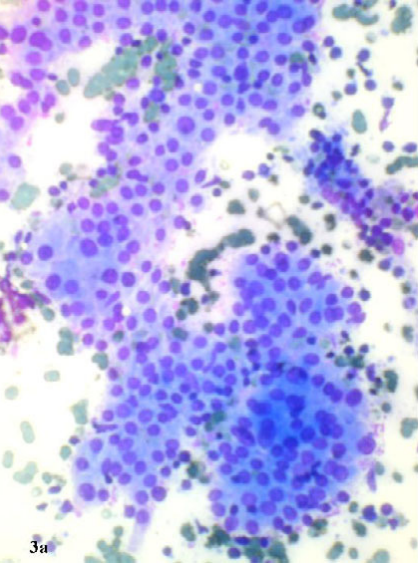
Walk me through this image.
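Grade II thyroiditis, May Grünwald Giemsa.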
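This smear shows sheets of thyroid epithelial cells mixed with lymphocytes. Smaller, darker round cells with little cytoplasm are scattered among and around the sheets, alongside blood cells in the background.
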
